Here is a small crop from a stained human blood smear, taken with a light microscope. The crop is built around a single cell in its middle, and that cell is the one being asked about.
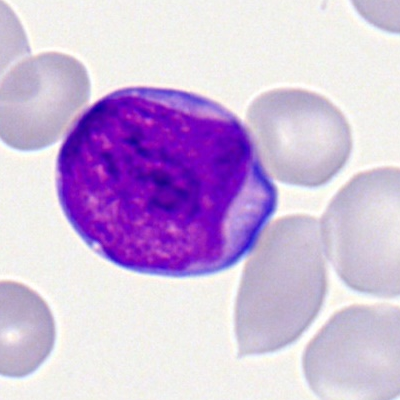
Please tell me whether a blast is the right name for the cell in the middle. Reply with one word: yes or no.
yes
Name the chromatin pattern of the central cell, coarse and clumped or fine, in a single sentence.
The chromatin pattern is fine and free of coarse clumps.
